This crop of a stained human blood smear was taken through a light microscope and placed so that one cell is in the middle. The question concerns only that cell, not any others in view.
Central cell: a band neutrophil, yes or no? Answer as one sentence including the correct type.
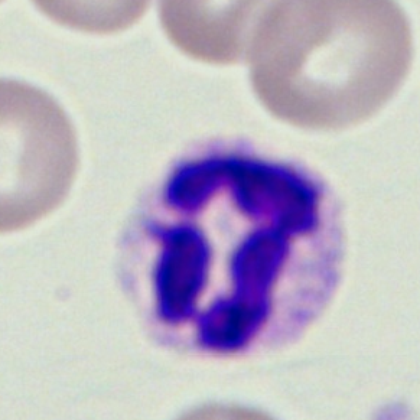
No, the middle cell is classified as a segmented neutrophil and not as a band neutrophil.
